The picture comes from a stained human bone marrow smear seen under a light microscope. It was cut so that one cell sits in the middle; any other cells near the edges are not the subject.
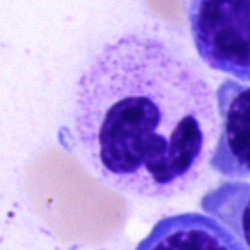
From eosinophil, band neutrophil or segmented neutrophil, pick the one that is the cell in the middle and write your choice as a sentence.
The central cell, amid any neighbouring cells, is a segmented neutrophil.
